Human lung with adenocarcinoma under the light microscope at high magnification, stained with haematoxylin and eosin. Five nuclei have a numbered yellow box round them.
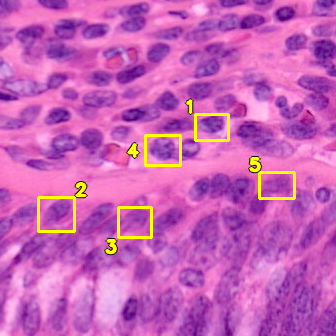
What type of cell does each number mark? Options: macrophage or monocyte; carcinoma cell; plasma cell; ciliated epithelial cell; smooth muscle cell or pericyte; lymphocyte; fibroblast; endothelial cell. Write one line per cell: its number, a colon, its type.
1: lymphocyte
2: ciliated epithelial cell
3: ciliated epithelial cell
4: lymphocyte
5: ciliated epithelial cell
